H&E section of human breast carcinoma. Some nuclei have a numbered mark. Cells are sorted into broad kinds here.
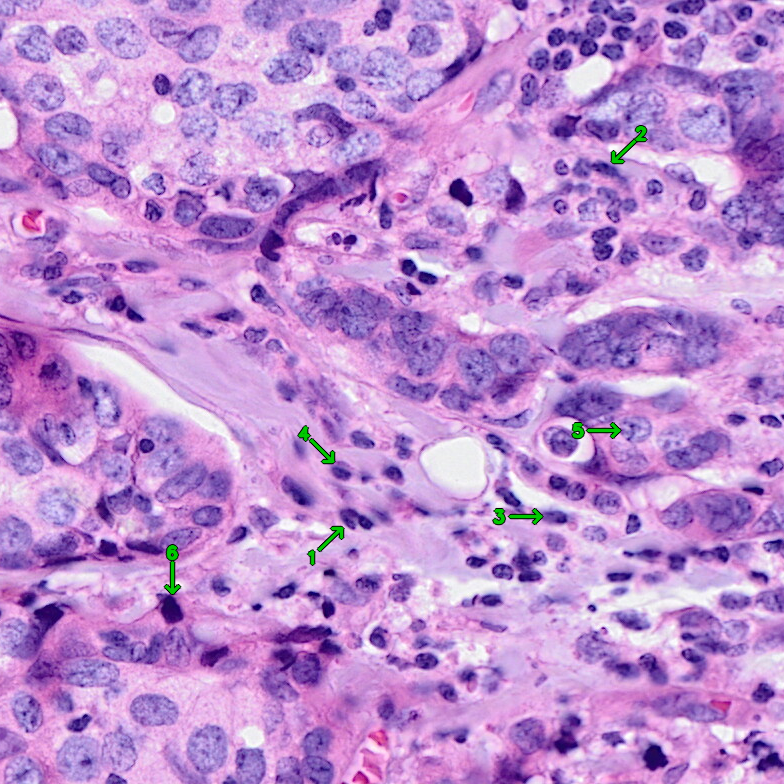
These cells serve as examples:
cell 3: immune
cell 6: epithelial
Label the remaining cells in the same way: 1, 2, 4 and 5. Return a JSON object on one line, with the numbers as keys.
{"1": "immune", "2": "immune", "4": "immune", "5": "epithelial"}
